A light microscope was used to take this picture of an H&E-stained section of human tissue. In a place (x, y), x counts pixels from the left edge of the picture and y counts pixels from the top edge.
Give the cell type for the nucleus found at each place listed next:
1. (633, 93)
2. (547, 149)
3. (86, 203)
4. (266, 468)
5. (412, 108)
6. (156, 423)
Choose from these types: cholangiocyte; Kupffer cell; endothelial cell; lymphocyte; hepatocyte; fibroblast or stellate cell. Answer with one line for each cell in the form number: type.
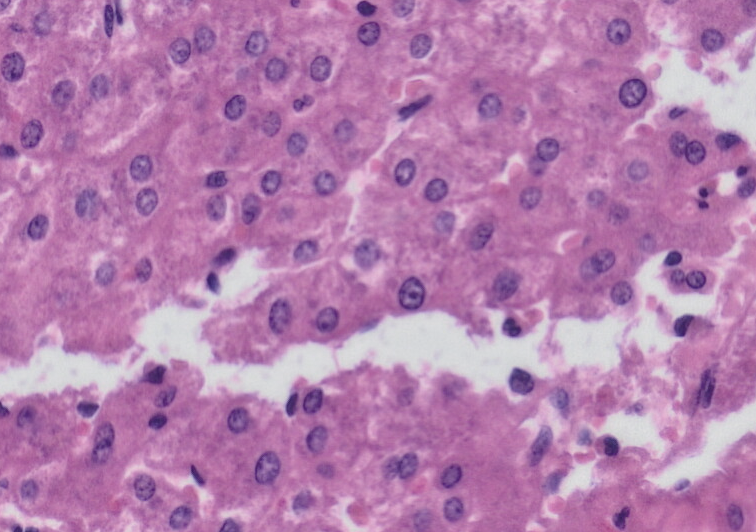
1: hepatocyte
2: hepatocyte
3: hepatocyte
4: hepatocyte
5: Kupffer cell
6: fibroblast or stellate cell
